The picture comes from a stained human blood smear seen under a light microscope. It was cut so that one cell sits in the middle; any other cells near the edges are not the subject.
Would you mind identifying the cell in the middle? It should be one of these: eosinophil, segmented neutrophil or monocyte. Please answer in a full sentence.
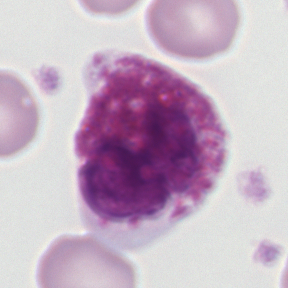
The cell at the heart of this crop is an eosinophil.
